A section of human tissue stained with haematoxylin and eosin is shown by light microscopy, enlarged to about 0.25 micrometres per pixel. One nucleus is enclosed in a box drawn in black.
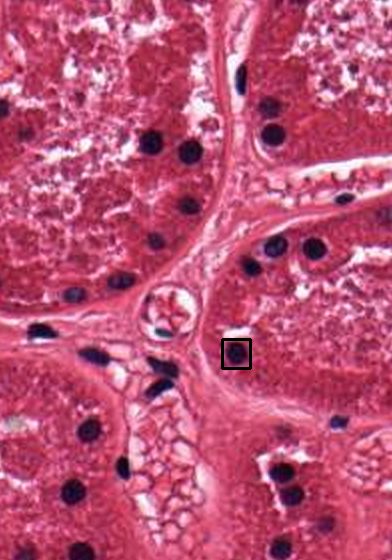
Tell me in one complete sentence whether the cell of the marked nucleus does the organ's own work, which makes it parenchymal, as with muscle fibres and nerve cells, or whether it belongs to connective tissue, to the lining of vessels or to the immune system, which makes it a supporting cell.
Within a parenchymal cell, namely a proximal tubule cell, sits the marked nucleus.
